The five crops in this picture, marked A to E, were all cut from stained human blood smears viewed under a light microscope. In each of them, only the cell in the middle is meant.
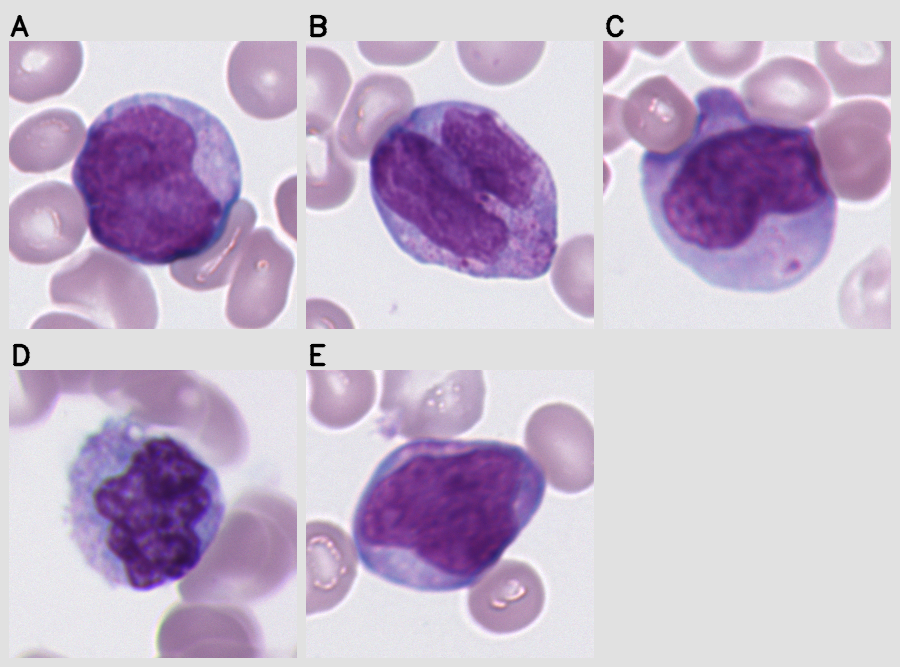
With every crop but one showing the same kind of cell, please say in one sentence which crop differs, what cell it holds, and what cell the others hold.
Apart from crop D, which shows a monocyte, every crop shows atypical promyelocytes.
